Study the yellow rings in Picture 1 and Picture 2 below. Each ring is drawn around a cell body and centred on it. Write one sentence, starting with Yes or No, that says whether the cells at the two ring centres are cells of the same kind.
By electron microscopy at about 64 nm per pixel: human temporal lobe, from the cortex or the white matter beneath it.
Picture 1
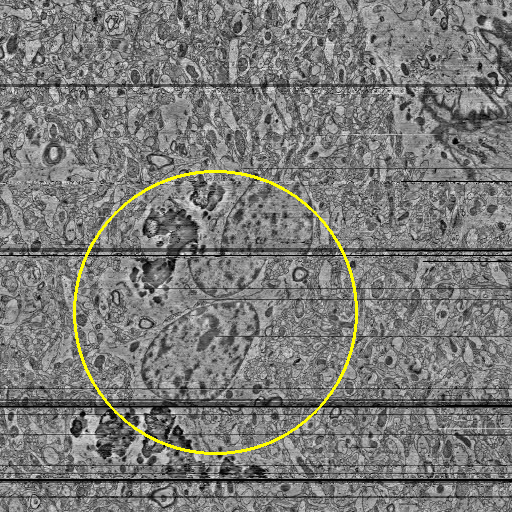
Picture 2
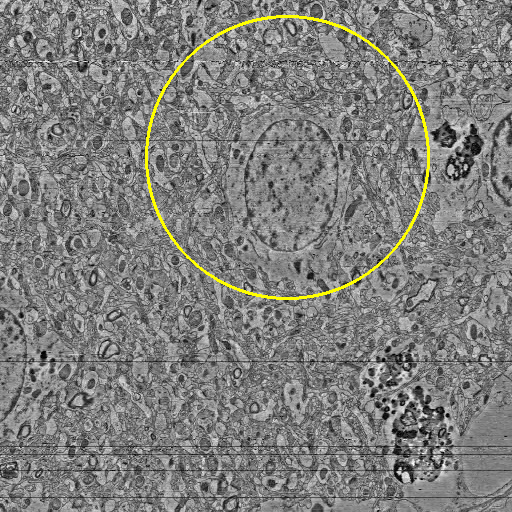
Yes, the cells at both ring centres are of the same kind.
